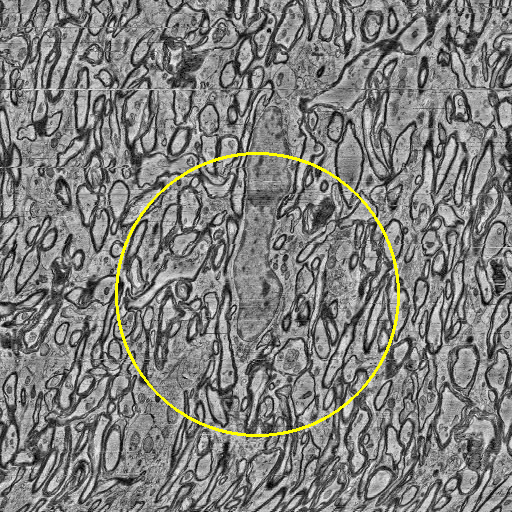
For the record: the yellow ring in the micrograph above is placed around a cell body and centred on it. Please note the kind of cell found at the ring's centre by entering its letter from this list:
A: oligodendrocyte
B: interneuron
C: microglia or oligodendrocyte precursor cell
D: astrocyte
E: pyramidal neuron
C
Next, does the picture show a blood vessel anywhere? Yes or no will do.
No, there is none.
